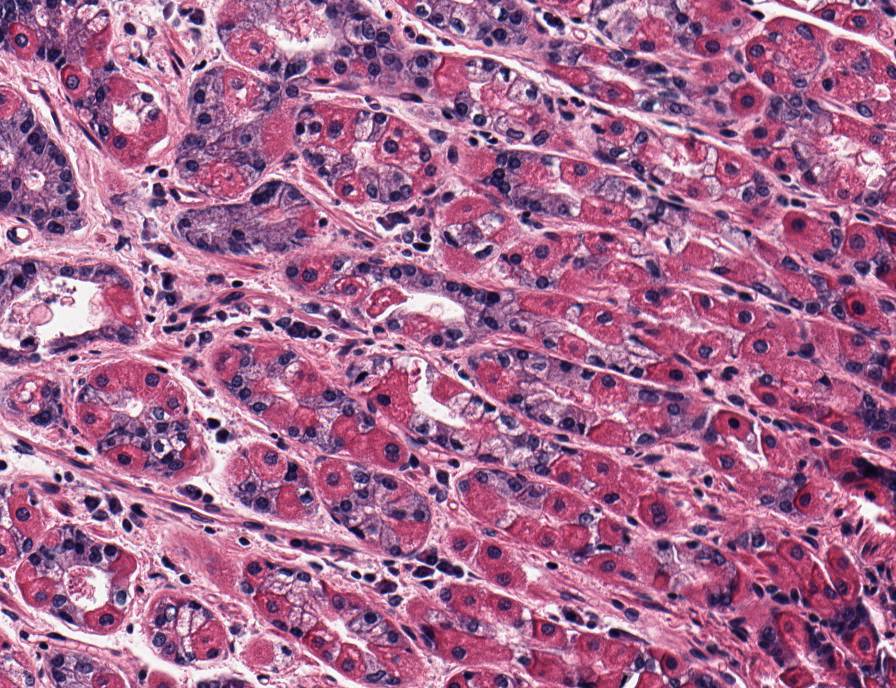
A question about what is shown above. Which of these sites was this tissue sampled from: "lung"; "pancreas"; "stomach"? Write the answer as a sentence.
The site this tissue was sampled from is the stomach.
